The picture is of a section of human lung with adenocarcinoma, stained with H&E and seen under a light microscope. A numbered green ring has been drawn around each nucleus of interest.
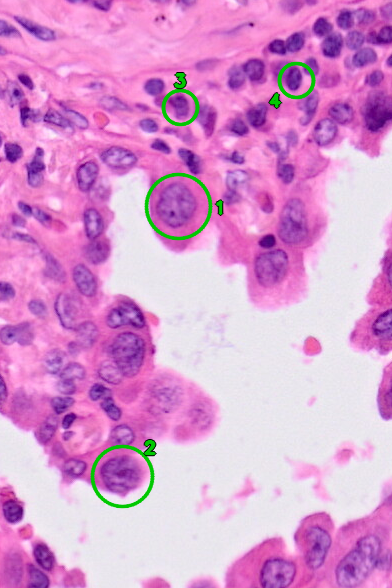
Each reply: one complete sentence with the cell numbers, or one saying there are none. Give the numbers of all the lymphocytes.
A single numbered cell, cell 4, is a lymphocyte.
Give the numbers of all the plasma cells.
Of the cells carrying numbers, just cell 3 is a plasma cell.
